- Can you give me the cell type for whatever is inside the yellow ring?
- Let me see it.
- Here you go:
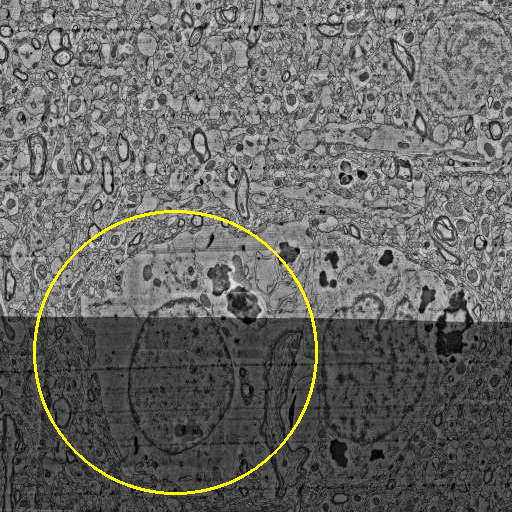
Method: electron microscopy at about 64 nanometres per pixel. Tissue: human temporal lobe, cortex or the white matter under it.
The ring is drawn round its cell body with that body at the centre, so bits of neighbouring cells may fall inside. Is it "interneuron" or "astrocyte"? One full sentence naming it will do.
The cell body in the middle of the ring in this picture belongs to an astrocyte.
